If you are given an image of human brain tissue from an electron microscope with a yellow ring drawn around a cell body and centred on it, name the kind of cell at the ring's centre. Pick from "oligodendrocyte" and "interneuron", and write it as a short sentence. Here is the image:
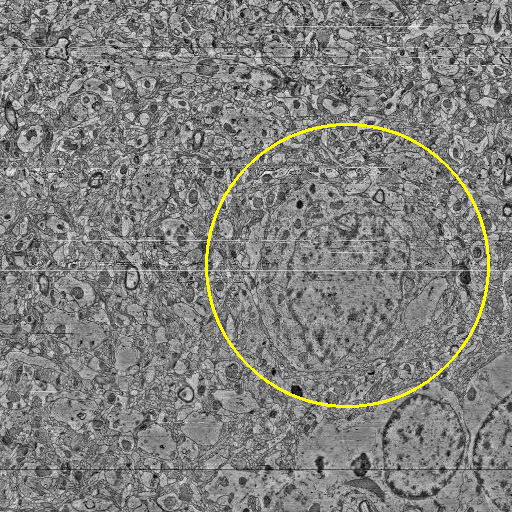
The cell at the ring's centre is an interneuron.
